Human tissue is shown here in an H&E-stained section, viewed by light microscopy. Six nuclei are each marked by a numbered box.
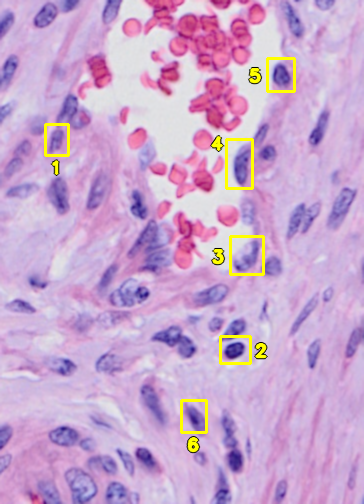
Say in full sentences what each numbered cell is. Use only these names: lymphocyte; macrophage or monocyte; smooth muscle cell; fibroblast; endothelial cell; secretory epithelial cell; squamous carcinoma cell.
Cell 1 is an endothelial cell, cell 2 is a lymphocyte, cell 3 is an endothelial cell, cell 4 is an endothelial cell, cell 5 is an endothelial cell and cell 6 is a fibroblast.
